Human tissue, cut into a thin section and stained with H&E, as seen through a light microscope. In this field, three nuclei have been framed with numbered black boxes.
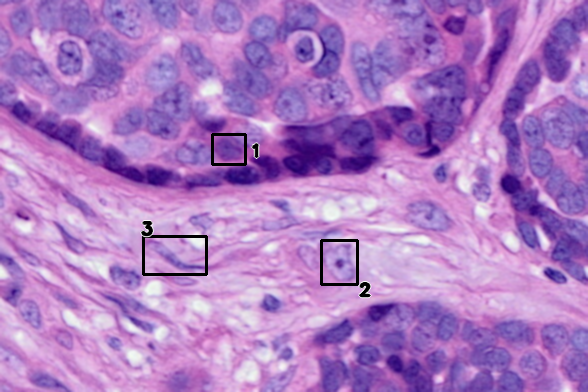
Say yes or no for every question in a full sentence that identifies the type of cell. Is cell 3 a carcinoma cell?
No, the cell with the number 3 is a fibroblast, not a carcinoma cell.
